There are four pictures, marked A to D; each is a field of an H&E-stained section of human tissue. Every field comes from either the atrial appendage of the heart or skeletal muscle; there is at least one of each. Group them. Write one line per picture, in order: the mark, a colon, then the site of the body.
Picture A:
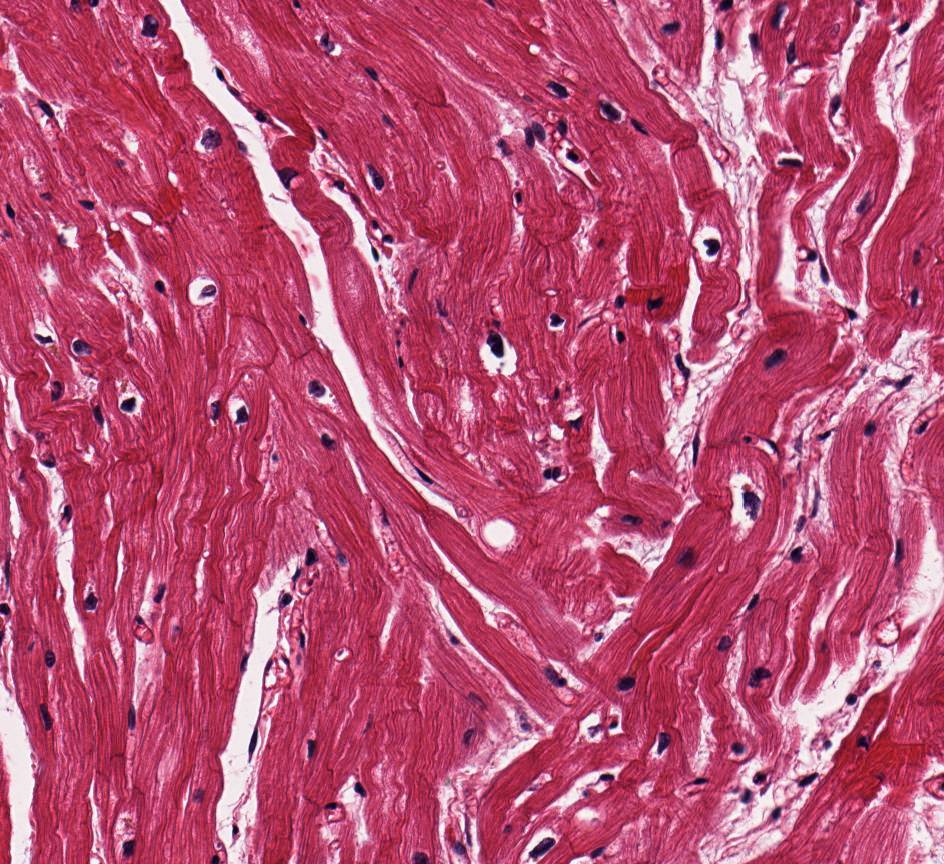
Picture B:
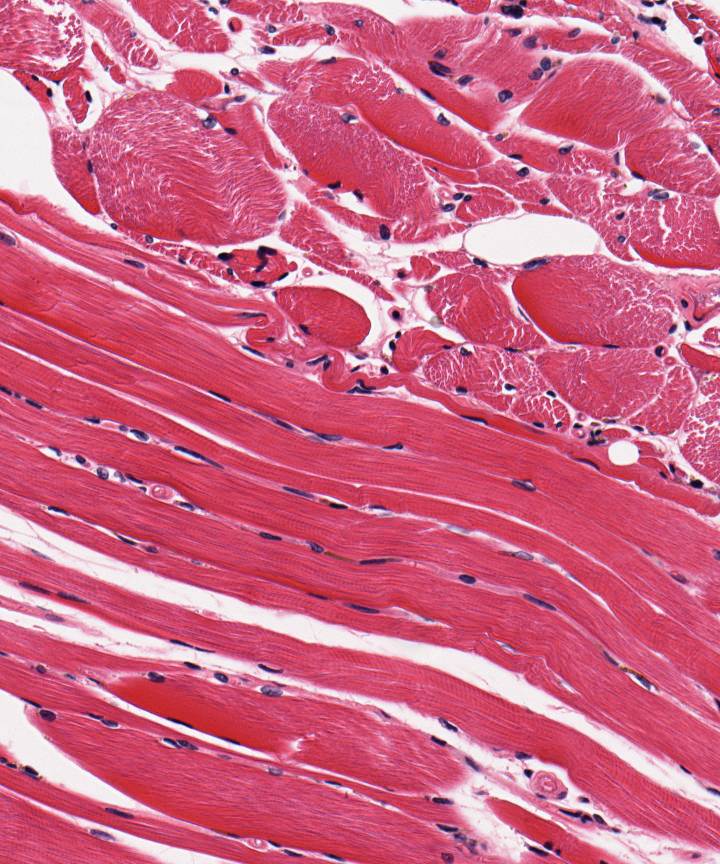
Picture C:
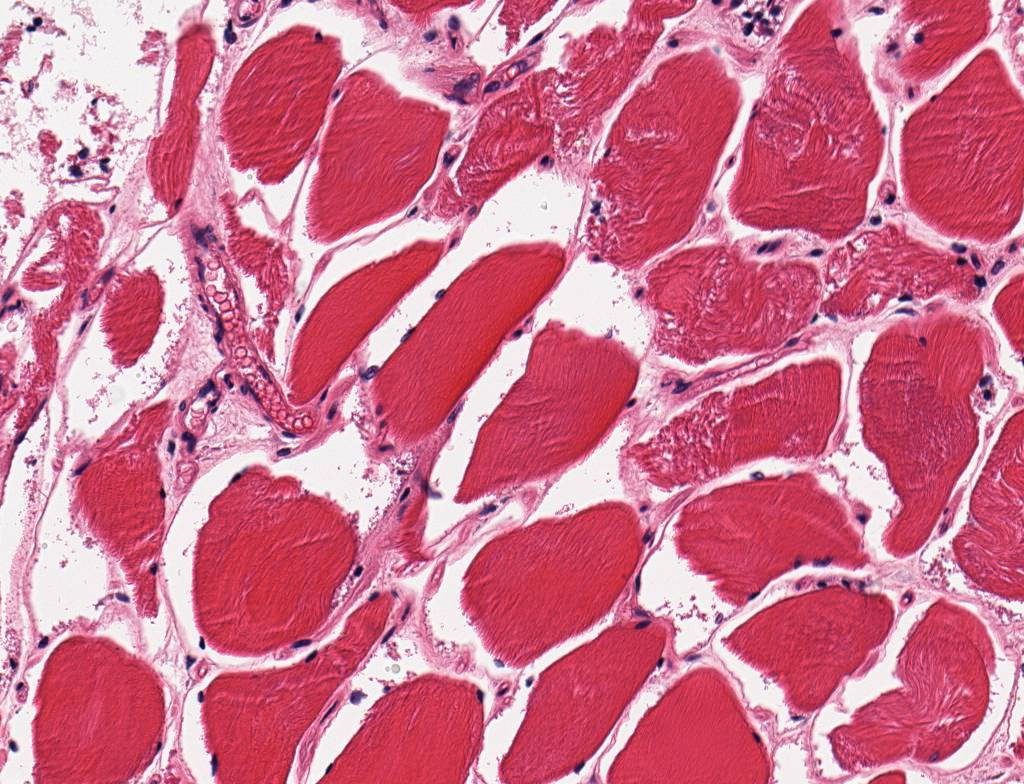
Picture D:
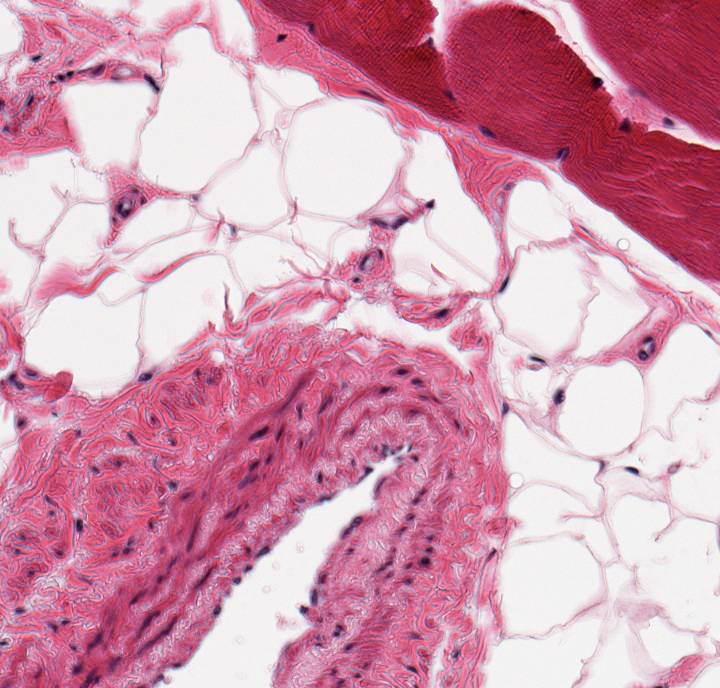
A: atrial appendage of the heart
B: skeletal muscle
C: skeletal muscle
D: skeletal muscle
